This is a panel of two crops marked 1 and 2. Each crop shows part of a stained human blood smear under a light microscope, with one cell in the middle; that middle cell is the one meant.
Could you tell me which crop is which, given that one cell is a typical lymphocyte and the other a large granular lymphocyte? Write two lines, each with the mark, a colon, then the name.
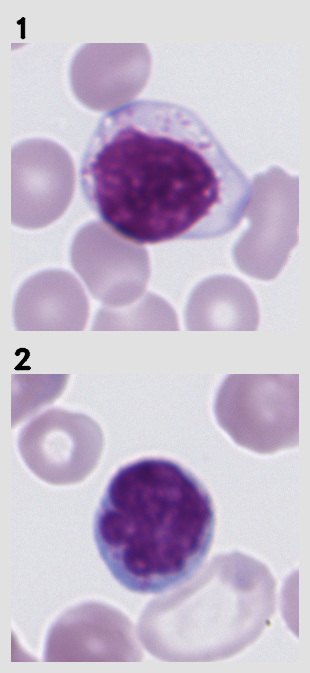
1: large granular lymphocyte
2: typical lymphocyte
